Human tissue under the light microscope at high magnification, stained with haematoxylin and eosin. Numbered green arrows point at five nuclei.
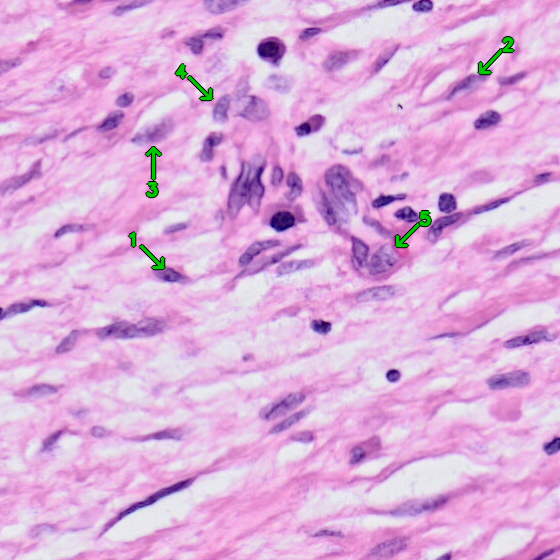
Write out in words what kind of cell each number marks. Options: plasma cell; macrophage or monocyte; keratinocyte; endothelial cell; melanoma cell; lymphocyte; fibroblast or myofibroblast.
Cells 1 and 4 are macrophages or monocytes. Cells 2 and 3 are fibroblasts or myofibroblasts. Cell 5 is an endothelial cell.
